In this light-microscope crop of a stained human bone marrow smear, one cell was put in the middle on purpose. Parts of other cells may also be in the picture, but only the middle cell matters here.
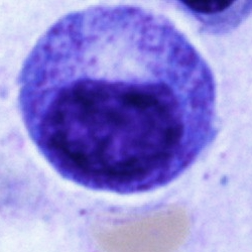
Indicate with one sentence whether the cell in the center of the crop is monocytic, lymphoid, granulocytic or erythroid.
Under the granulocytic lineage falls the cell in the middle of the crop.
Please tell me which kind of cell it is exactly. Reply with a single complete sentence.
The cell of interest, located centrally, is a promyelocyte.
